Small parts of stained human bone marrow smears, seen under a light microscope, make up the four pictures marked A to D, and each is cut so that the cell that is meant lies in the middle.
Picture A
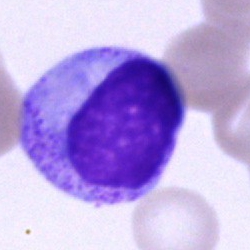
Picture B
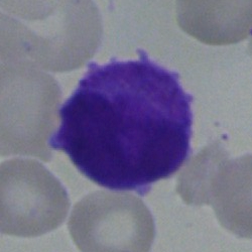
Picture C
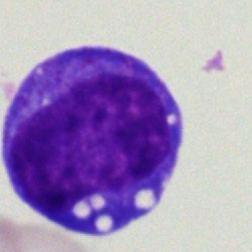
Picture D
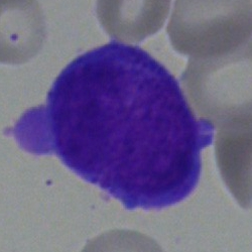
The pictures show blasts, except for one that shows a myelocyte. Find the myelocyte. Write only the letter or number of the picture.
A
